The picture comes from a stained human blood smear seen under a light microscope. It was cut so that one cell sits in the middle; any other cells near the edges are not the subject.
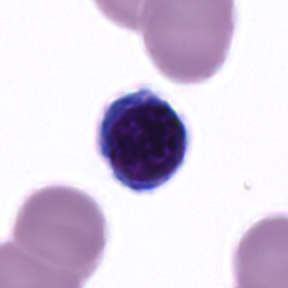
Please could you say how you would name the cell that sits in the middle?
plasma cell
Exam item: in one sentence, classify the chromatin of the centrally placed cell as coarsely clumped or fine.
This nucleus has coarsely clumped chromatin.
